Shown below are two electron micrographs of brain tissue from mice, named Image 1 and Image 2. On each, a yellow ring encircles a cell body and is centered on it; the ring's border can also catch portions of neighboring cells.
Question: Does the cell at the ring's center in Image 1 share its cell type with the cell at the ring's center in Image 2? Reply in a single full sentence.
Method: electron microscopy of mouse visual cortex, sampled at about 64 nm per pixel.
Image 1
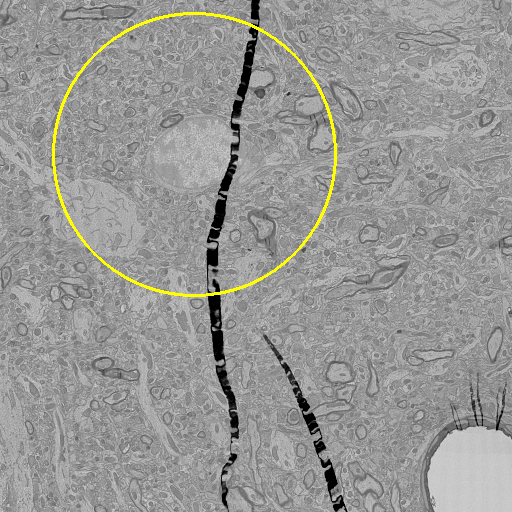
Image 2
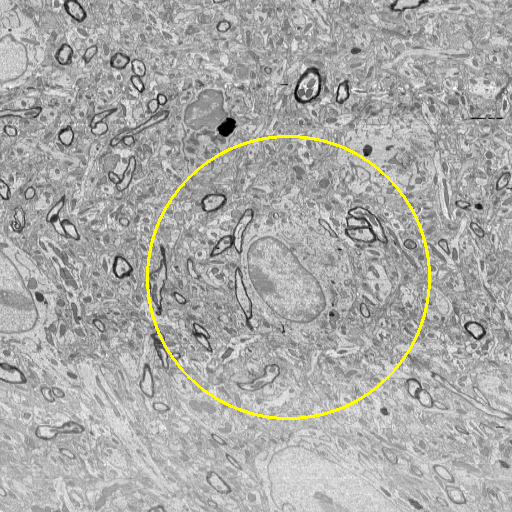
Yes, the two cells at the ring centers, in Image 1 and Image 2, share one cell type.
